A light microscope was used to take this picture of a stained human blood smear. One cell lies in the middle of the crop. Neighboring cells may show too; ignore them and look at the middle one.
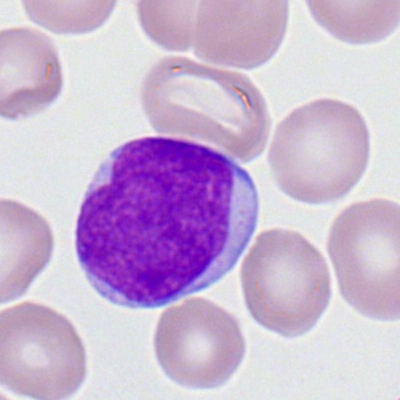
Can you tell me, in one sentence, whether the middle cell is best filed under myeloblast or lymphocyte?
Looking at the middle of the crop, the cell there is a myeloblast.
